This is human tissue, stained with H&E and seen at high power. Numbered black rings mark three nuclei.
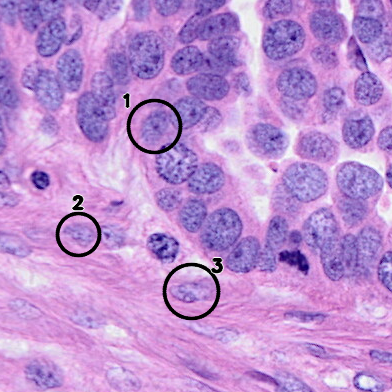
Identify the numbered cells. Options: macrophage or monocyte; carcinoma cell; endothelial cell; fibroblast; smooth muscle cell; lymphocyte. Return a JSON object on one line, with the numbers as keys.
{"1": "carcinoma cell", "2": "fibroblast", "3": "fibroblast"}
